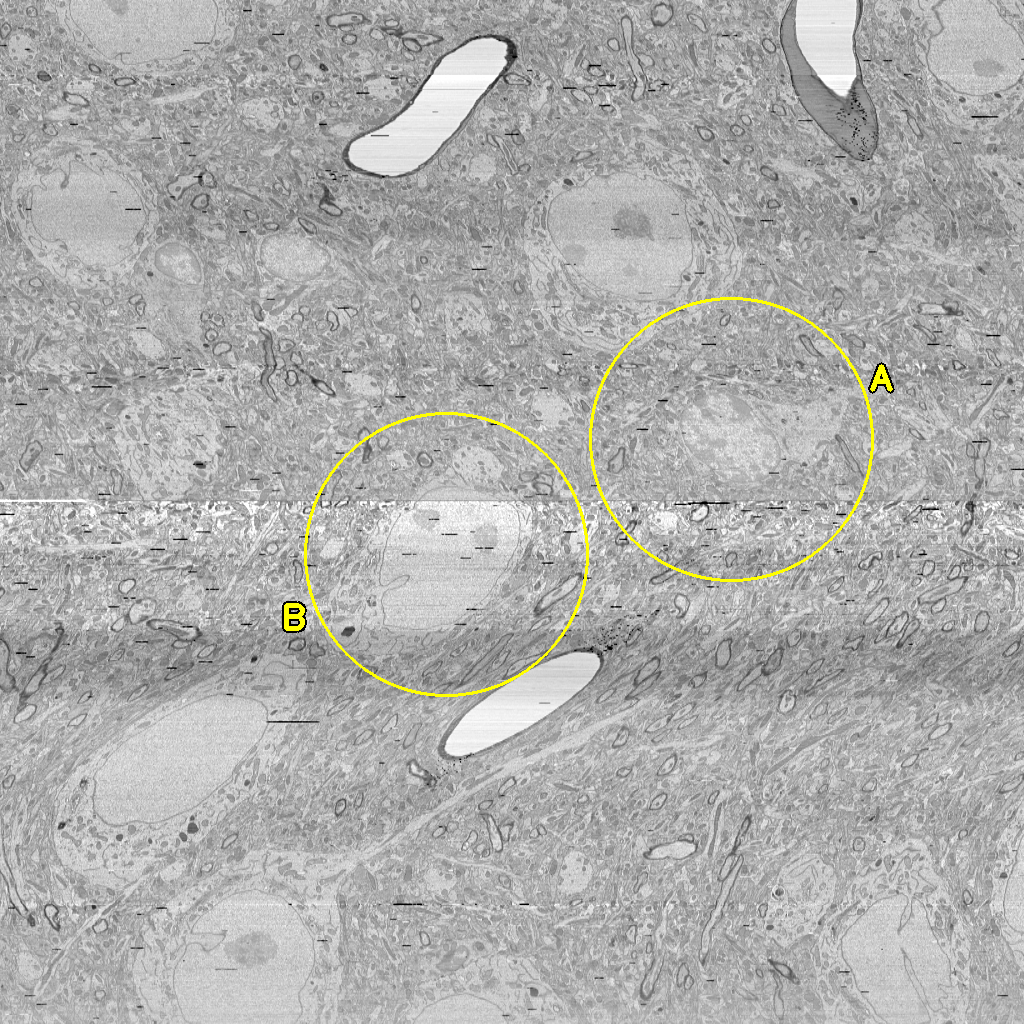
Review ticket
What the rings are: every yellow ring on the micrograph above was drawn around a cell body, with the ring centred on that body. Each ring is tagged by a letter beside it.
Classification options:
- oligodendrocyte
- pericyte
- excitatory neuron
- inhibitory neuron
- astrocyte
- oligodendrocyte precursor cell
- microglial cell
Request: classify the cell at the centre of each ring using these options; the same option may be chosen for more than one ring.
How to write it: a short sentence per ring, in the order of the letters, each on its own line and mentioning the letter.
The cell centred in ring A is an oligodendrocyte.
The cell centred in ring B is an excitatory neuron.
